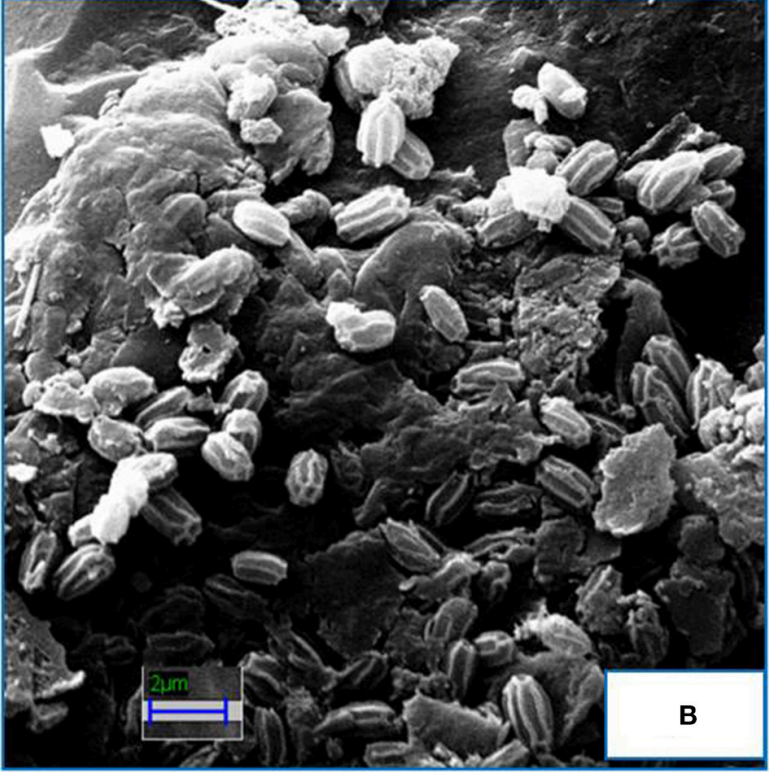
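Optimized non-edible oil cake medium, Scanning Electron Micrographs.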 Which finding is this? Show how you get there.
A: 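The oval bodies carry parallel longitudinal ridges along their length. Ridges give each body a striped look. So: ornamented surface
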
